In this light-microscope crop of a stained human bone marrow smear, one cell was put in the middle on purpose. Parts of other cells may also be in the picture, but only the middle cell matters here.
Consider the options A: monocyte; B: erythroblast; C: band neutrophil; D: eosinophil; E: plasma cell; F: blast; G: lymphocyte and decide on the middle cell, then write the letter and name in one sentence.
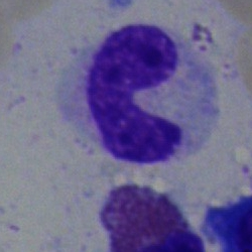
With the cell in the middle being a band neutrophil, option C is the correct choice.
